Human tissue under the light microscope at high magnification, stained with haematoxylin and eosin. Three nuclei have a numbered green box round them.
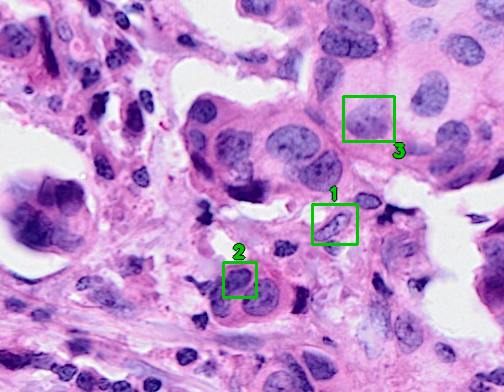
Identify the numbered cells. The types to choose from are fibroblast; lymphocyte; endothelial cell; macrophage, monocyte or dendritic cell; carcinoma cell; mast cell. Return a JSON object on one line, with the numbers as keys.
{"1": "endothelial cell", "2": "carcinoma cell", "3": "carcinoma cell"}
